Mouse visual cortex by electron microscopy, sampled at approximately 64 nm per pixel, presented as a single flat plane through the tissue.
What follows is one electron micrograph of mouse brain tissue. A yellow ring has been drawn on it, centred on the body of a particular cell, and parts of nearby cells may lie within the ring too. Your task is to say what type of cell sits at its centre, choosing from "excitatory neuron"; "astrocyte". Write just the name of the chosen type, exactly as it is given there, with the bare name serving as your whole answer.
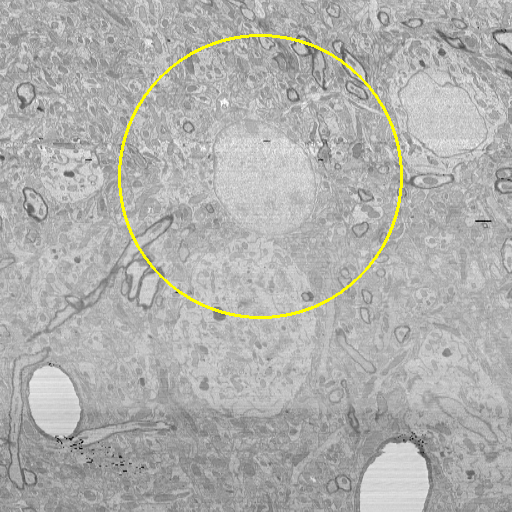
astrocyte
